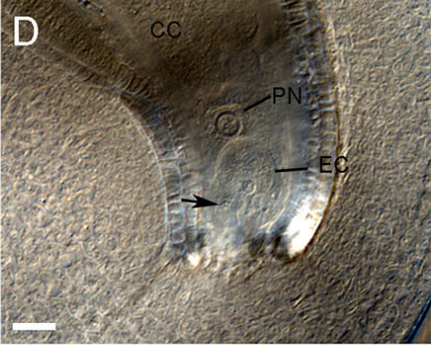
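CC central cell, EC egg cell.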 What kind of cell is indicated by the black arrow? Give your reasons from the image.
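Sperm cell. The arrow points to a small structure beside a large rounded cell near the tip of the embryo sac.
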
